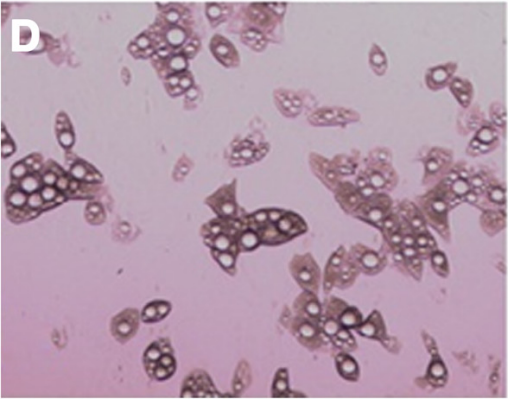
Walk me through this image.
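Adherent cells lie scattered singly and in small groups on a pale background. Many are oval or irregular with a flattened rim, and their cytoplasm is filled with round, refractile droplets with dark rims and bright centres; some droplets are large, nearly filling the cell, while others are small and clustered. A few smaller cells hold only a few droplets.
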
